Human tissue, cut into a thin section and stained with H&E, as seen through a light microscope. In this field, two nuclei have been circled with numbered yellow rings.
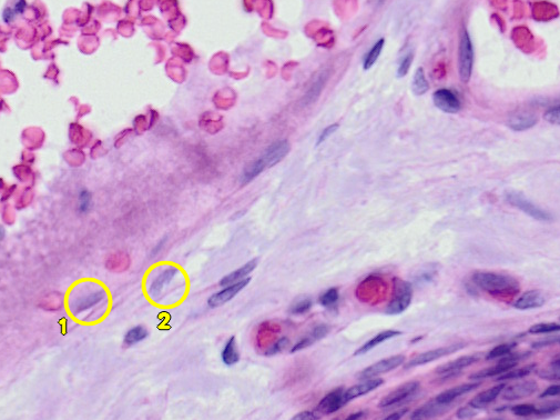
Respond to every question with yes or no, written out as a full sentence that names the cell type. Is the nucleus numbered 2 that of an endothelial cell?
No, cell 2 has been misnamed; it is a fibroblast, not an endothelial cell.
